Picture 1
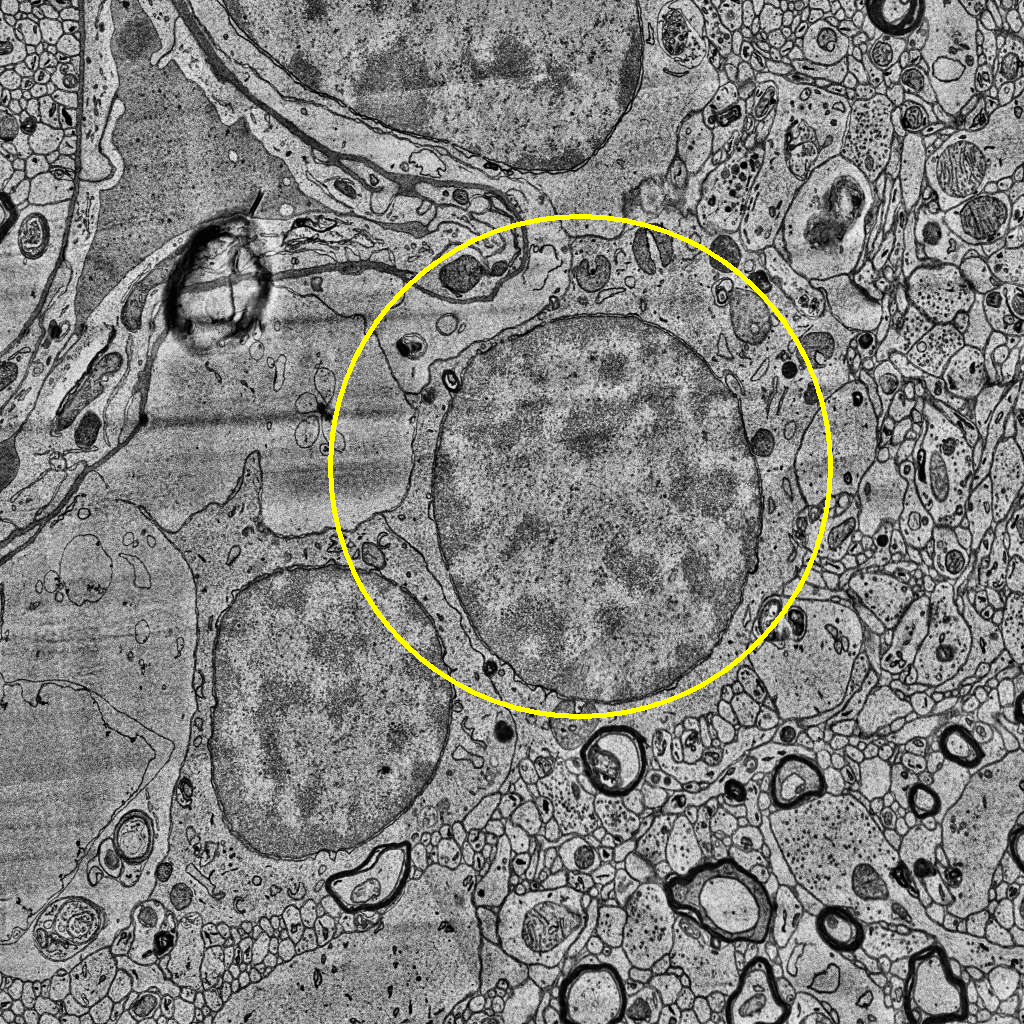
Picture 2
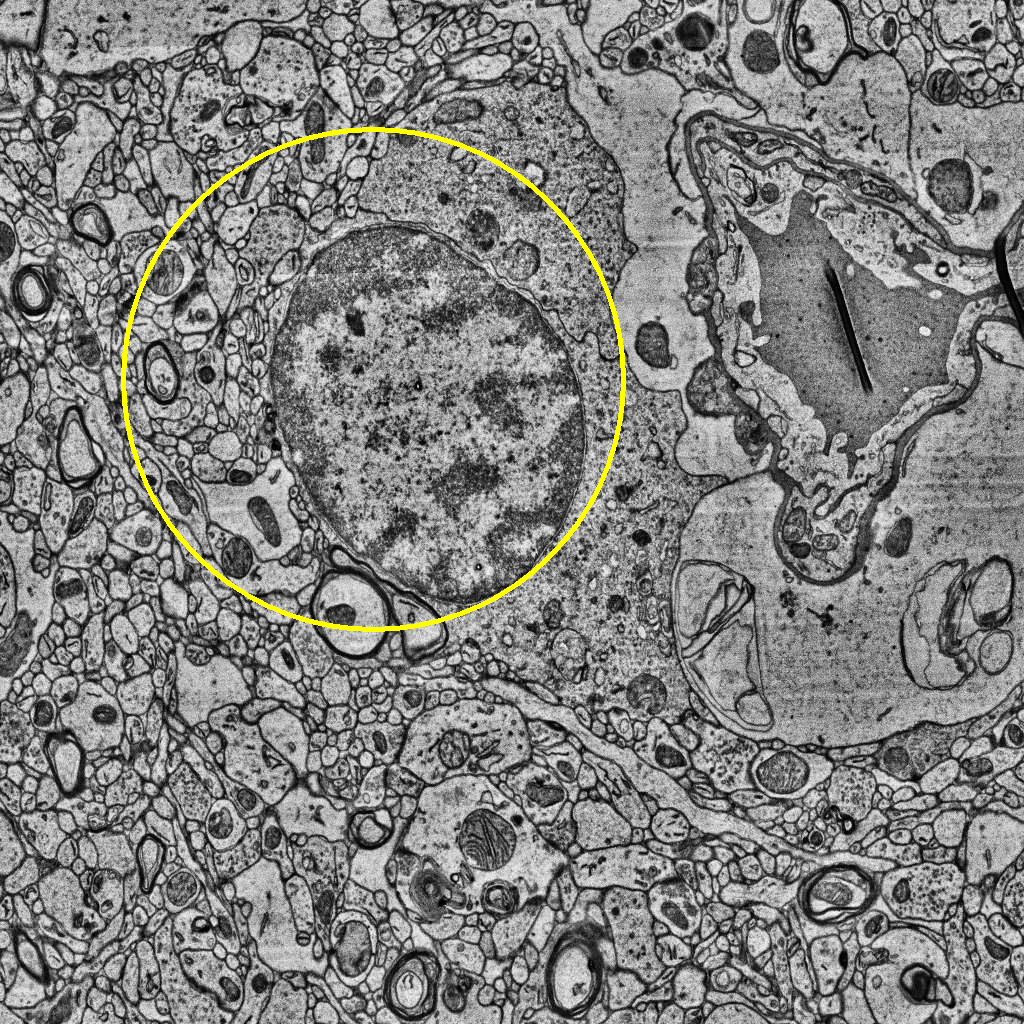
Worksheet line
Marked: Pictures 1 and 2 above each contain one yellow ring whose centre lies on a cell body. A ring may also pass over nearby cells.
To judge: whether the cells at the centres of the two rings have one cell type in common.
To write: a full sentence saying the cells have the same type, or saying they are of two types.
The cells at the centres of the rings in Picture 1 and Picture 2 have the same type.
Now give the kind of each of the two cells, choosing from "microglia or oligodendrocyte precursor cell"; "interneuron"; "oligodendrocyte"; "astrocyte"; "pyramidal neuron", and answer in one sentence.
Each of the two cells is an oligodendrocyte.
